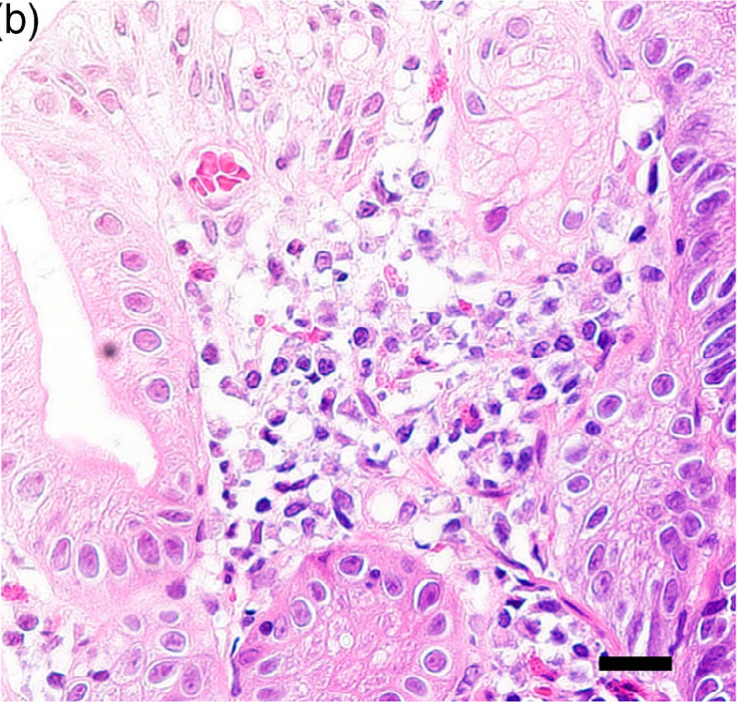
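Gastric mucosa at high power with tall columnar epithelial cells bearing pale pink cytoplasm and oval basal to mid-level nuclei lining glands on either side. The intervening lamina propria is packed with inflammatory cells with small round to irregular dark-purple nuclei and scant cytoplasm, among loose pale stroma and a small capillary holding red blood cells. No cells with bizarre enlarged nuclei are seen.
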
